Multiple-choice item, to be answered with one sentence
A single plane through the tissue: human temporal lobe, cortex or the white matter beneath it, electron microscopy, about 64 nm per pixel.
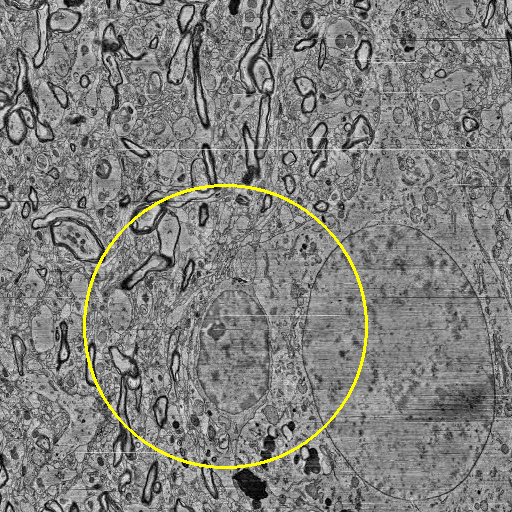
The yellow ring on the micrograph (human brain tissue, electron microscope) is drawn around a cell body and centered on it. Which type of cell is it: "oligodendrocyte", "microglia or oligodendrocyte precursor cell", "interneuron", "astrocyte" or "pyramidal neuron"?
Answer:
The ring is centered on an oligodendrocyte.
